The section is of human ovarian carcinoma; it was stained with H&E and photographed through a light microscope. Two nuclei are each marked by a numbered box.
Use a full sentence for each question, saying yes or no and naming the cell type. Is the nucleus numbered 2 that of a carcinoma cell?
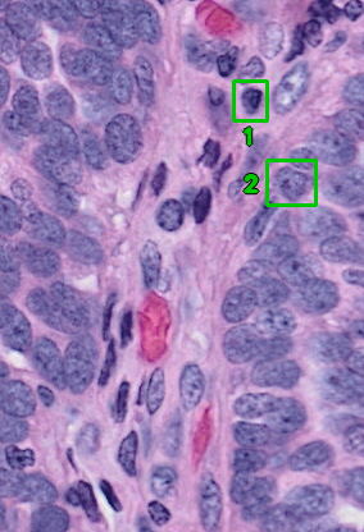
Yes, looking at number 2, that cell is a carcinoma cell.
